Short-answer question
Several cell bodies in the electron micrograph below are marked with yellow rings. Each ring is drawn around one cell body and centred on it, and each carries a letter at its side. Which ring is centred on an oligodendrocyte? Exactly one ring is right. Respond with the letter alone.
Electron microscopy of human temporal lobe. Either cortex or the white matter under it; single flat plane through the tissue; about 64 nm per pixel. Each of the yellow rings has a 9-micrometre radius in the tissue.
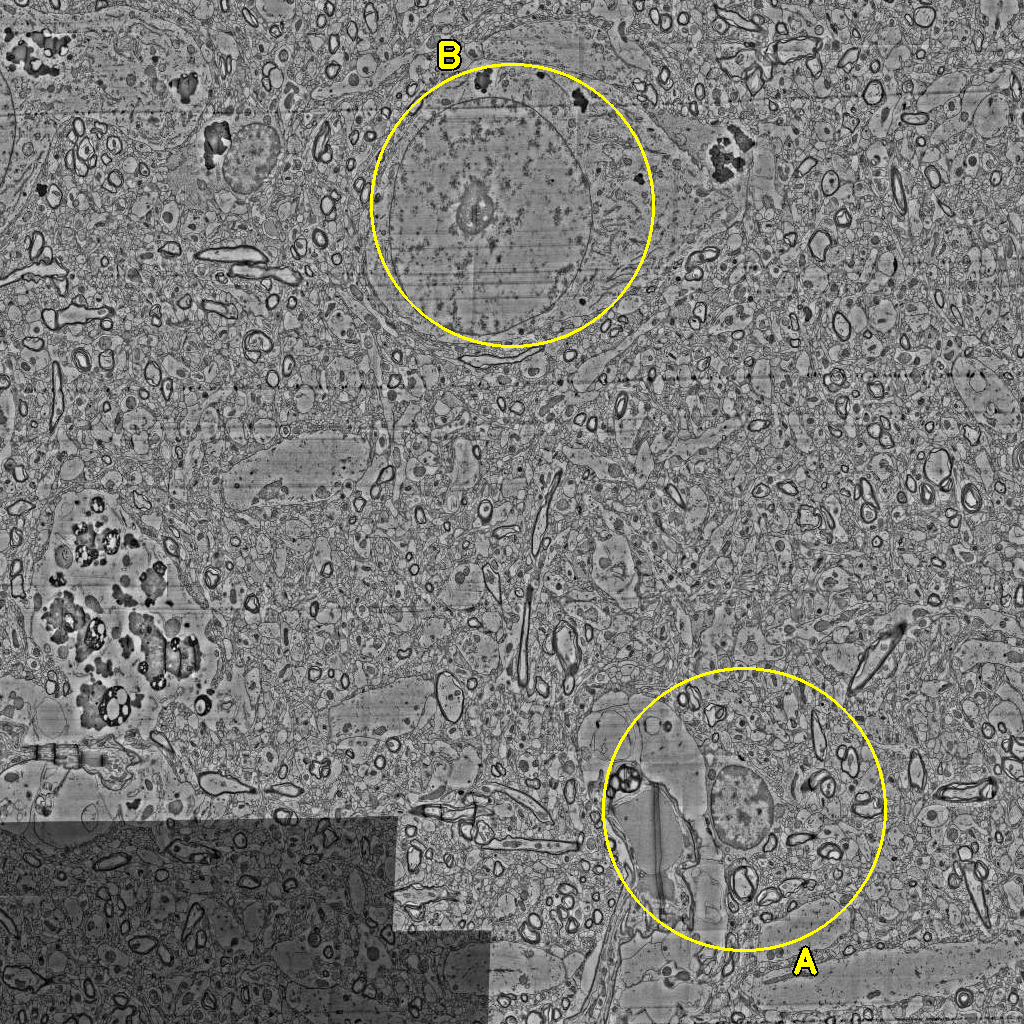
A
